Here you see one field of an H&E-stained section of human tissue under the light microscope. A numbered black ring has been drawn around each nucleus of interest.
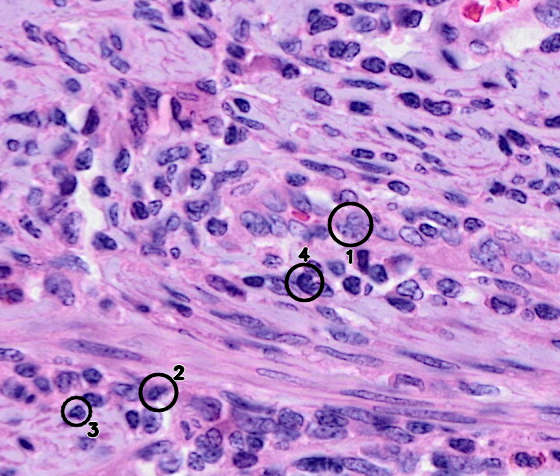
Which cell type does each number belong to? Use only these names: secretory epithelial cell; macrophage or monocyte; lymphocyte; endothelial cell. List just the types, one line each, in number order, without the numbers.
endothelial cell
lymphocyte
lymphocyte
lymphocyte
